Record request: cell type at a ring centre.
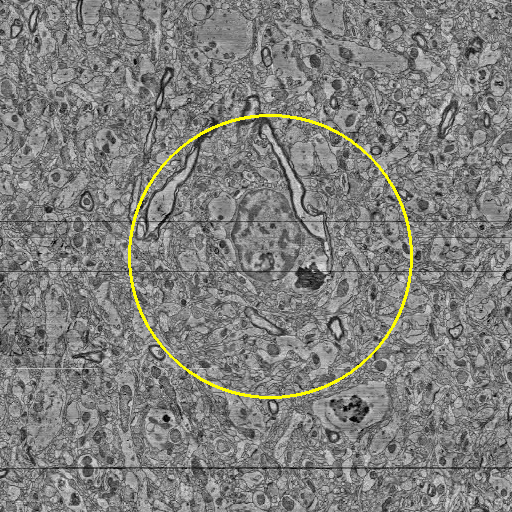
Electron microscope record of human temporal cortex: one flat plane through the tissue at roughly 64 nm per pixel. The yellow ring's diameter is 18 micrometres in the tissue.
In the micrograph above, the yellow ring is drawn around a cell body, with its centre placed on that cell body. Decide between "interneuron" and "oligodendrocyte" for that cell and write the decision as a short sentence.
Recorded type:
The cell centred in the yellow ring is an oligodendrocyte.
